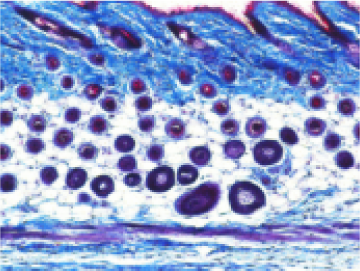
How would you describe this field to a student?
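The upper dermis is filled with blue collagen bundles, through which slanted hair follicles with red-purple walls pass towards the surface. Deeper down, many hair follicles are cut in cross-section, appearing as round purple rings with a dark centre, scattered among large clear empty spaces of fat cells in the subcutaneous layer. Beneath this lies a thin band of purple-red stained muscle fibres and further blue connective tissue. The epidermis at the top edge is thin and stains red.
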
